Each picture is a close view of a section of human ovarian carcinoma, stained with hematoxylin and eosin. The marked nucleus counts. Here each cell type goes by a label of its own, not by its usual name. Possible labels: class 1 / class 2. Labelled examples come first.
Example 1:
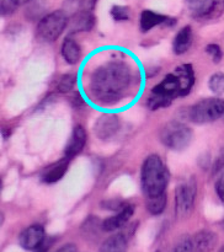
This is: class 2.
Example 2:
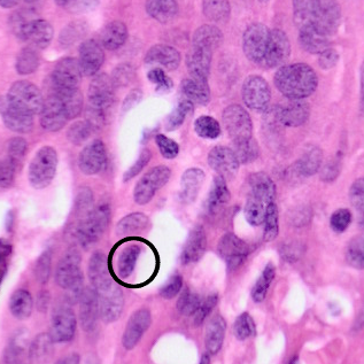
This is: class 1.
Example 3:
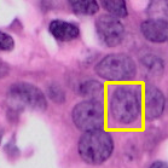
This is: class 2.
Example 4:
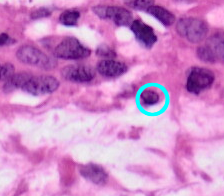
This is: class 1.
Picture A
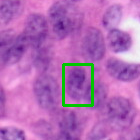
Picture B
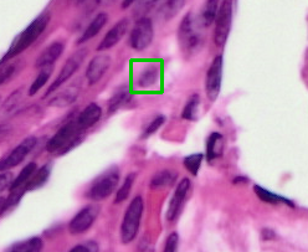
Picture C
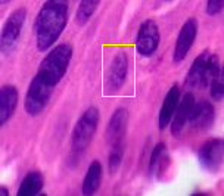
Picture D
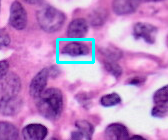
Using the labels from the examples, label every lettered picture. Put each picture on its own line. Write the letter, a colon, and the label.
A: class 2.
B: class 1.
C: class 2.
D: class 2.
